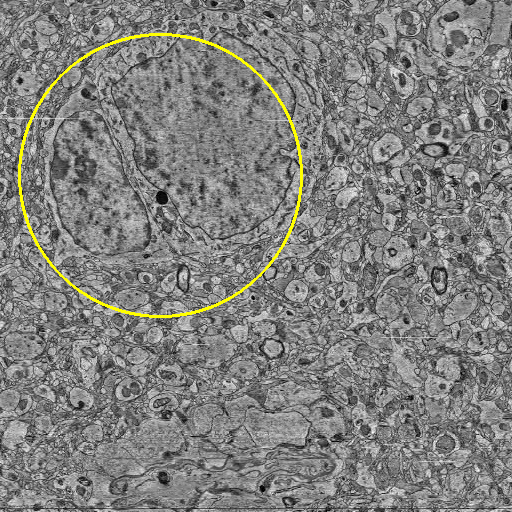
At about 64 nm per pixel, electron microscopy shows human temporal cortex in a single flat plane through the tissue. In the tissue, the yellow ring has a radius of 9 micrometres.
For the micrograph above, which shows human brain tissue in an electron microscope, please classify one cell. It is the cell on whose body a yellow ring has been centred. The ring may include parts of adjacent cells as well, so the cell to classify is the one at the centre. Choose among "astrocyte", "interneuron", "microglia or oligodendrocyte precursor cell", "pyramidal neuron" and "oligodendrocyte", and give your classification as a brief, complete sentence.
I classify this cell as a pyramidal neuron.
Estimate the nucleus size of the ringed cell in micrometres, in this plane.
The ringed cell's nucleus is about 14 micrometres long and 11 micrometres wide in this plane.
